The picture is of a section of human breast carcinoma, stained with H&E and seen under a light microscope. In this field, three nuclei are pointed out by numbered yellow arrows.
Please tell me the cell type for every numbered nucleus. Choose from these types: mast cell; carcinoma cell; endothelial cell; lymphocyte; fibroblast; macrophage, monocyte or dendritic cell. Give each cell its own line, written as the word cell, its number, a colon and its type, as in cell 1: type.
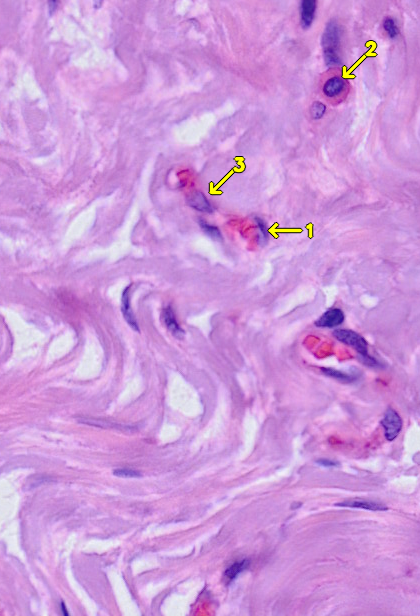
cell 1: endothelial cell
cell 2: mast cell
cell 3: endothelial cell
